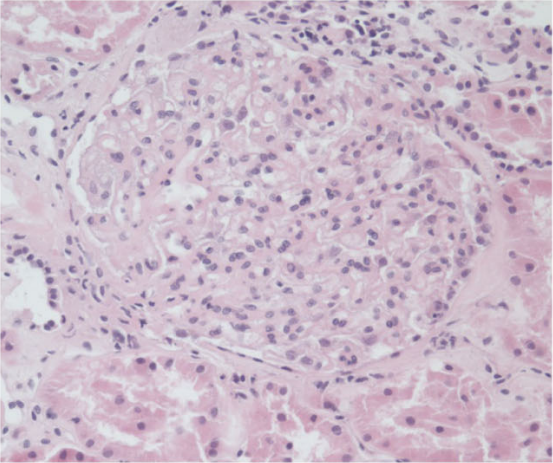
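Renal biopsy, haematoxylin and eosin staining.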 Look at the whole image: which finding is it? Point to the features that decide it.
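A round glomerulus fills the centre, surrounded by tubules. The glomerular tuft is crowded with many nuclei. Pink matrix lies between the capillary loops.
Answer: mesangial expansion and hypercellularity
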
